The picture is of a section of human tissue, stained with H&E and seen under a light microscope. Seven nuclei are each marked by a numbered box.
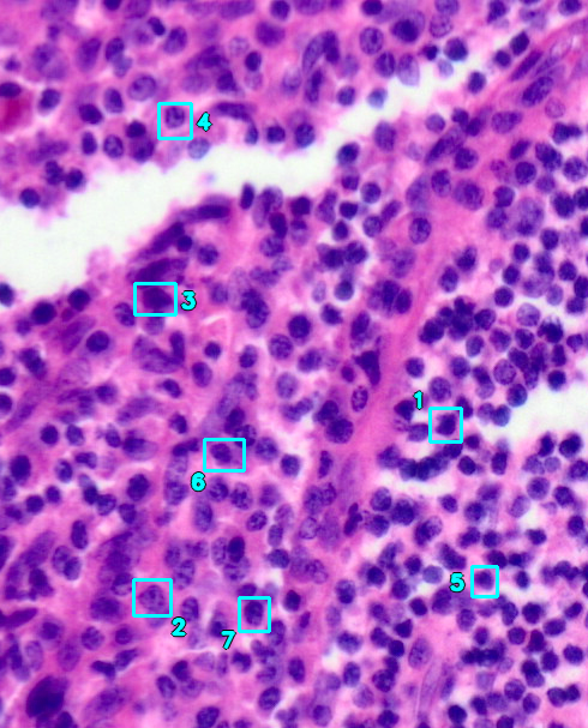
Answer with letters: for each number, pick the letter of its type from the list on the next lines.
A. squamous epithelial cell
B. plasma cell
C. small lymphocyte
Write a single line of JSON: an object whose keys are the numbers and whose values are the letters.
{"1": "C", "2": "B", "3": "A", "4": "B", "5": "C", "6": "B", "7": "B"}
